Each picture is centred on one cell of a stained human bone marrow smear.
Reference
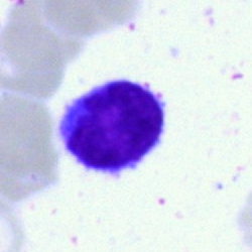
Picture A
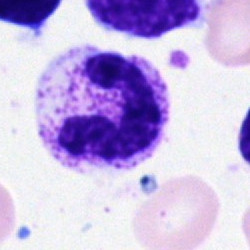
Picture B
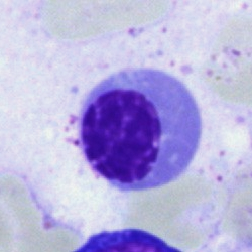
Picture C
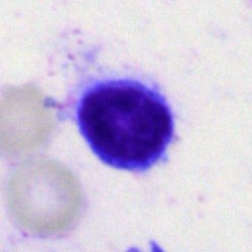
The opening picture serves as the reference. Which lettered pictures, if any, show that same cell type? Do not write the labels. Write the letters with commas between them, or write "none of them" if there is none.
C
